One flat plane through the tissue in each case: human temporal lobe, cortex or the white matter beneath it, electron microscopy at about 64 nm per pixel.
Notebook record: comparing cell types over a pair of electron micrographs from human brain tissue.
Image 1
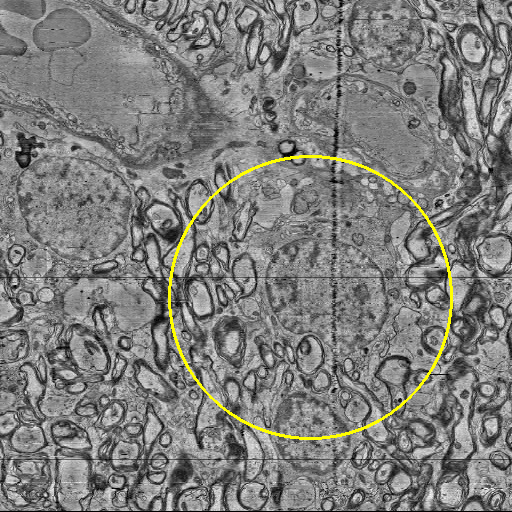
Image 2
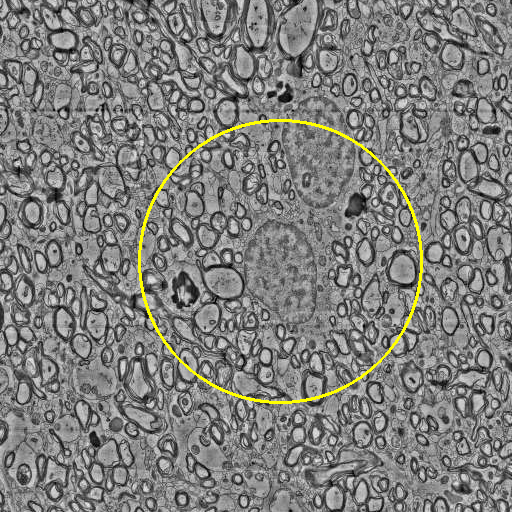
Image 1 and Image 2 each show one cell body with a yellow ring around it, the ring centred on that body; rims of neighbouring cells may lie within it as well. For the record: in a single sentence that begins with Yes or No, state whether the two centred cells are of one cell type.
Yes, one cell type is shared by the centred cells of Image 1 and Image 2.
